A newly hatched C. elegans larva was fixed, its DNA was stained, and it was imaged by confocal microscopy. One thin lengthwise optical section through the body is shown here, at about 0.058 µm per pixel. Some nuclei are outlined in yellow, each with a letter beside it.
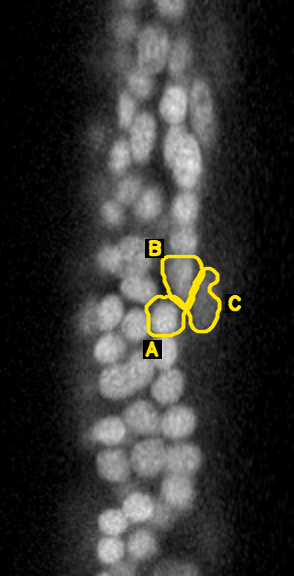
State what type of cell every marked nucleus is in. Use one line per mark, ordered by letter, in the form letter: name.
A: neuron
B: glial cell (sheath or socket)
C: body wall muscle cell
